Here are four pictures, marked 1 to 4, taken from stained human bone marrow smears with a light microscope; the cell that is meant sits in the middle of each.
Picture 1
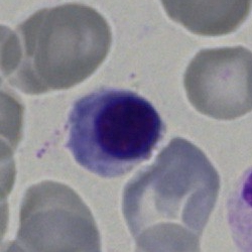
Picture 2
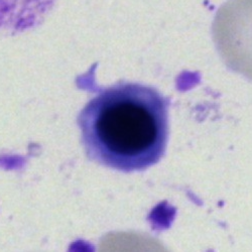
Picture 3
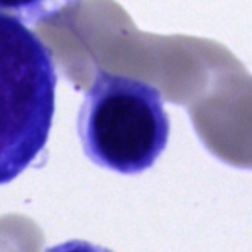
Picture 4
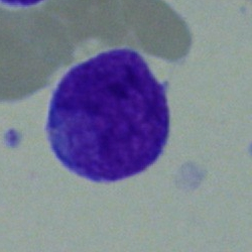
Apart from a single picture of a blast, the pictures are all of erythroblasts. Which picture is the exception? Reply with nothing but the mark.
4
